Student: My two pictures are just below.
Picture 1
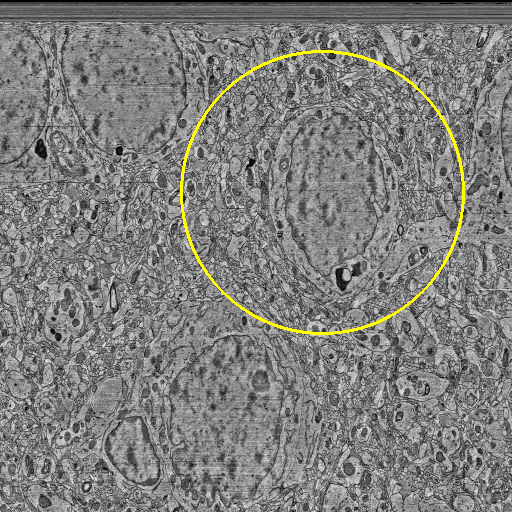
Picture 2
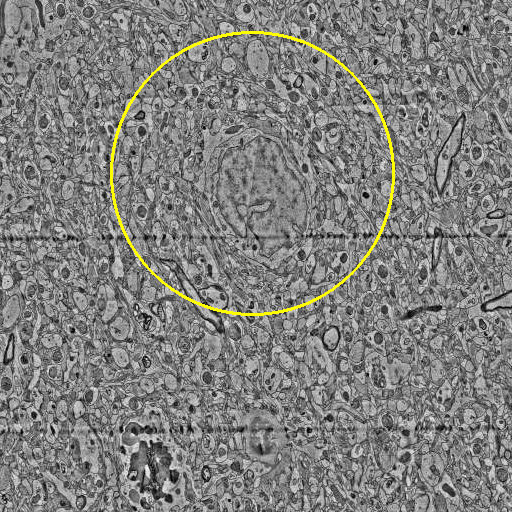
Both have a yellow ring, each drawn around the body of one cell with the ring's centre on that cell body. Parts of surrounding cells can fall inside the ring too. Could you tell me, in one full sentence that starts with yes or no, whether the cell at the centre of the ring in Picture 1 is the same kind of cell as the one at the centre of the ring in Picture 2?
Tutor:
Yes, the two cells are of the same kind.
